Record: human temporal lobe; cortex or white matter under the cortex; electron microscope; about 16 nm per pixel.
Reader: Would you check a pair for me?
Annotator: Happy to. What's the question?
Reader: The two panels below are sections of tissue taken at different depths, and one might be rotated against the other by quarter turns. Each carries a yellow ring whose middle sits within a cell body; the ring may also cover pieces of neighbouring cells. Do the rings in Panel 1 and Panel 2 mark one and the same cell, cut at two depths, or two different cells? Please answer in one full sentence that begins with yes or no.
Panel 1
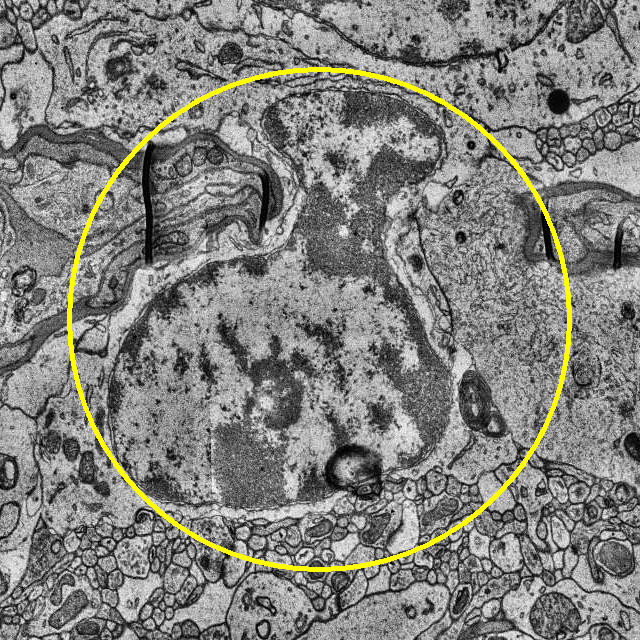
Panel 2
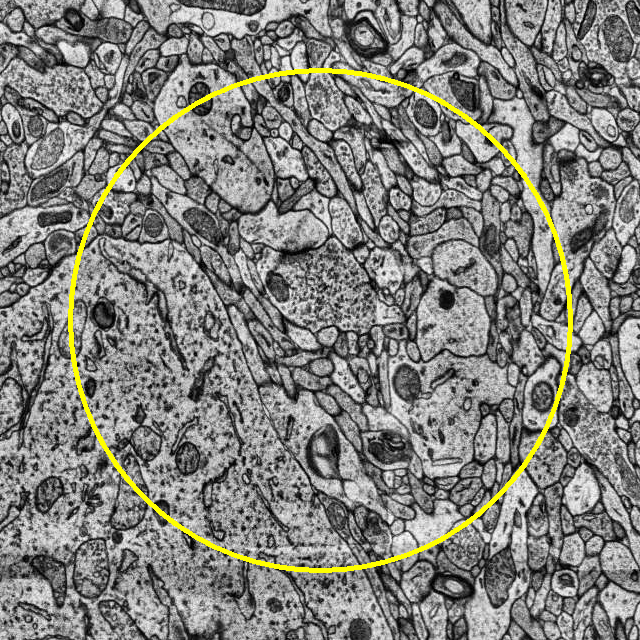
No, the two yellow rings each circle a different cell.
